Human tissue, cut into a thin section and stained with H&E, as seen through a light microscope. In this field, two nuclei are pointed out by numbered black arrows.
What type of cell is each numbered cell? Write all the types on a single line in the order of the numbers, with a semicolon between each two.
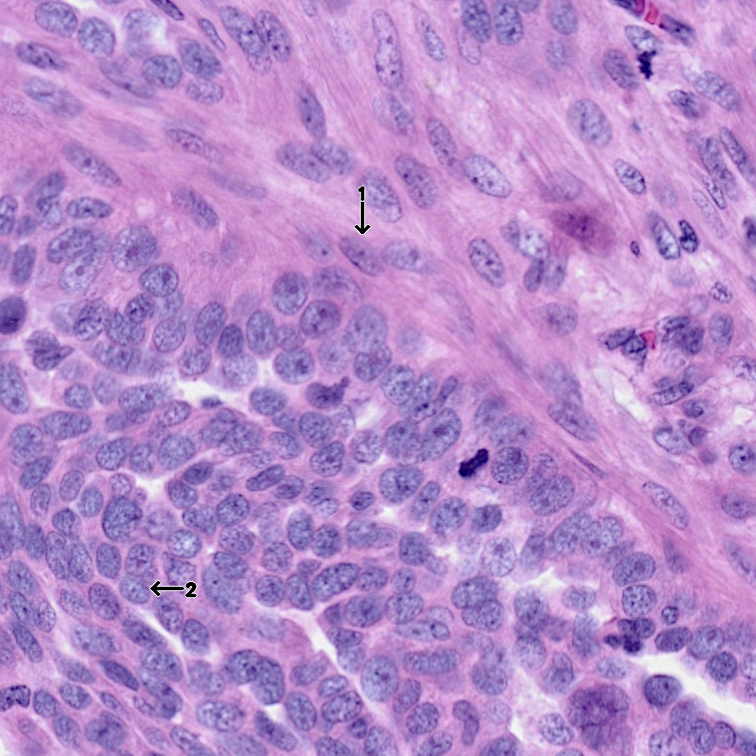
fibroblast; carcinoma cell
